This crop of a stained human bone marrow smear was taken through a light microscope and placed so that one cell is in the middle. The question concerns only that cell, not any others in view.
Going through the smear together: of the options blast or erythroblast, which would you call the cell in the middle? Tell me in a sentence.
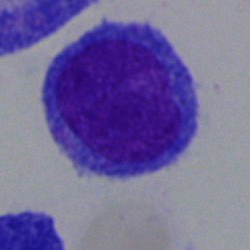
By classification, the middle cell of this crop is a blast.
